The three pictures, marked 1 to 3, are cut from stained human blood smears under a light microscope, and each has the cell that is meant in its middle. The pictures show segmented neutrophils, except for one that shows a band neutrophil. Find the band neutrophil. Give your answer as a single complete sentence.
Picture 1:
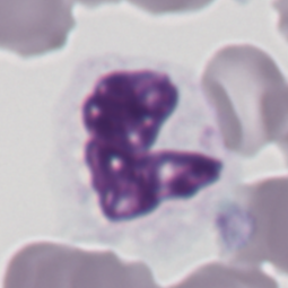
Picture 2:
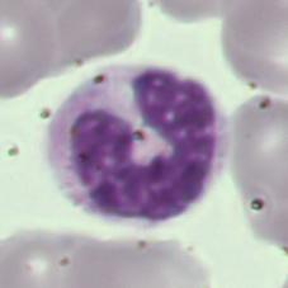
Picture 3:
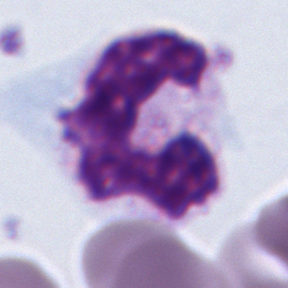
The picture with the band neutrophil is 2.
